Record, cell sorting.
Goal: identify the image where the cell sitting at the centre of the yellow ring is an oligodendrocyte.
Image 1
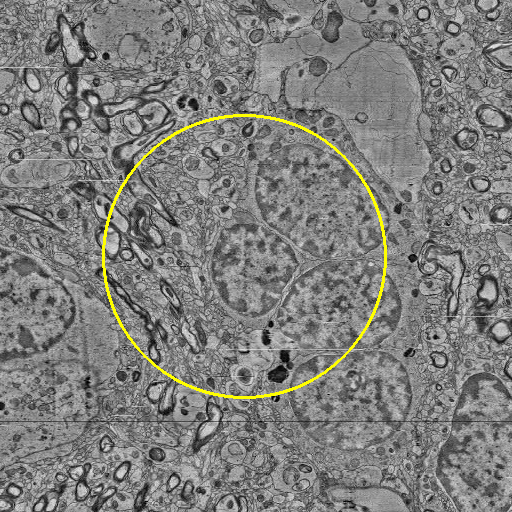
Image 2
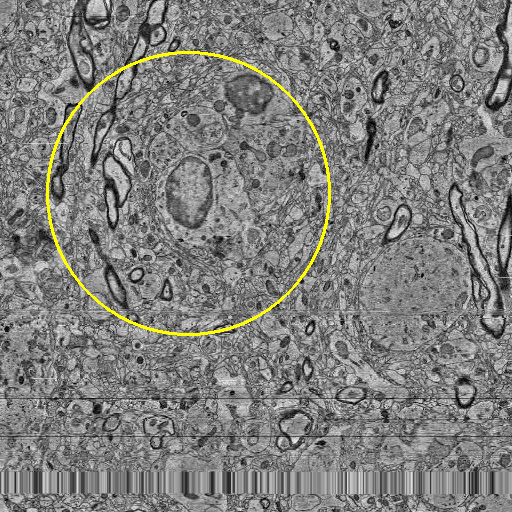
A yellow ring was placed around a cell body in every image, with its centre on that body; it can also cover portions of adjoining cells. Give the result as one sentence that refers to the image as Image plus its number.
Image 1 shows the requested cell sitting right at the centre of its ring.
